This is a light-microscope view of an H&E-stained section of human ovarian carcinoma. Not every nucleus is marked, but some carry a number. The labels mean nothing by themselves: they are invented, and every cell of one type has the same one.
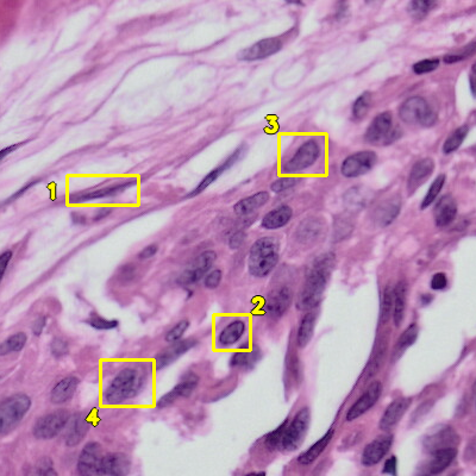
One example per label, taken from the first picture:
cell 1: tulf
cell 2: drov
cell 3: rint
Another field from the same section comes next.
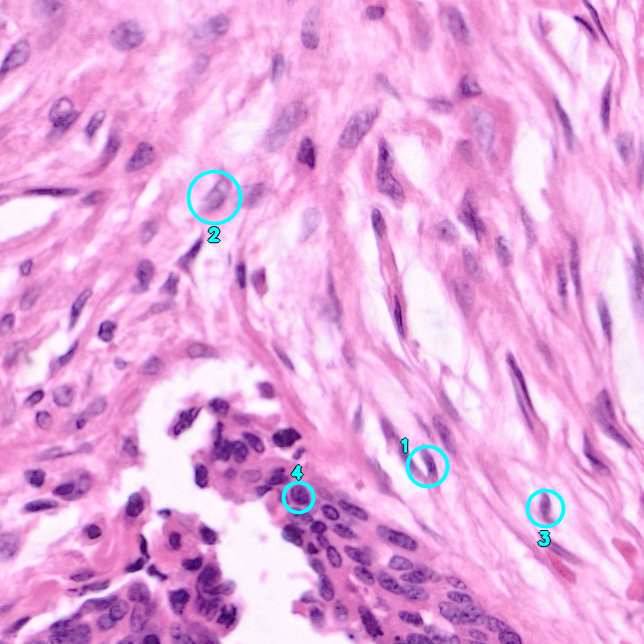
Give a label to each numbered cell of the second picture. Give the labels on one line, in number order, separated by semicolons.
tulf; tulf; tulf; drov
